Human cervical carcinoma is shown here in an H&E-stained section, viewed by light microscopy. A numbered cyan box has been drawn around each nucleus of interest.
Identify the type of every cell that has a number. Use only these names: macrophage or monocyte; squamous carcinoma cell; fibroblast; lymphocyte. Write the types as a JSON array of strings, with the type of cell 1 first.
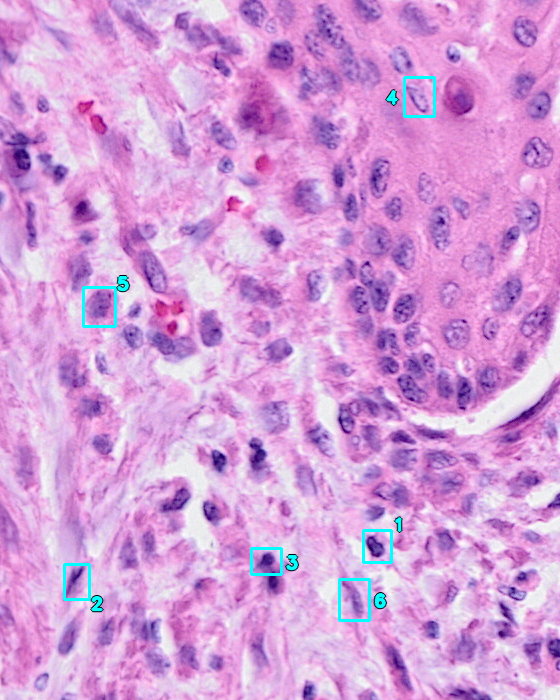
["lymphocyte", "fibroblast", "lymphocyte", "squamous carcinoma cell", "macrophage or monocyte", "fibroblast"]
